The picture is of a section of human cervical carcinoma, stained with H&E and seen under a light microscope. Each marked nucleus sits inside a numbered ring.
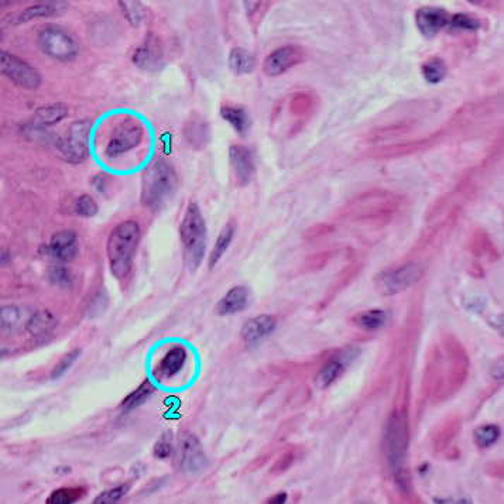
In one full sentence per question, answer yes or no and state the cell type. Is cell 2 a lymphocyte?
Yes, for number 2, the cell is a lymphocyte.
